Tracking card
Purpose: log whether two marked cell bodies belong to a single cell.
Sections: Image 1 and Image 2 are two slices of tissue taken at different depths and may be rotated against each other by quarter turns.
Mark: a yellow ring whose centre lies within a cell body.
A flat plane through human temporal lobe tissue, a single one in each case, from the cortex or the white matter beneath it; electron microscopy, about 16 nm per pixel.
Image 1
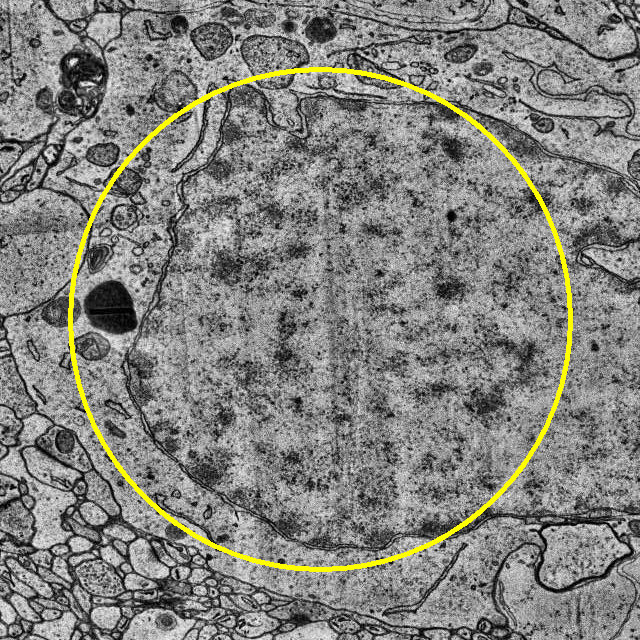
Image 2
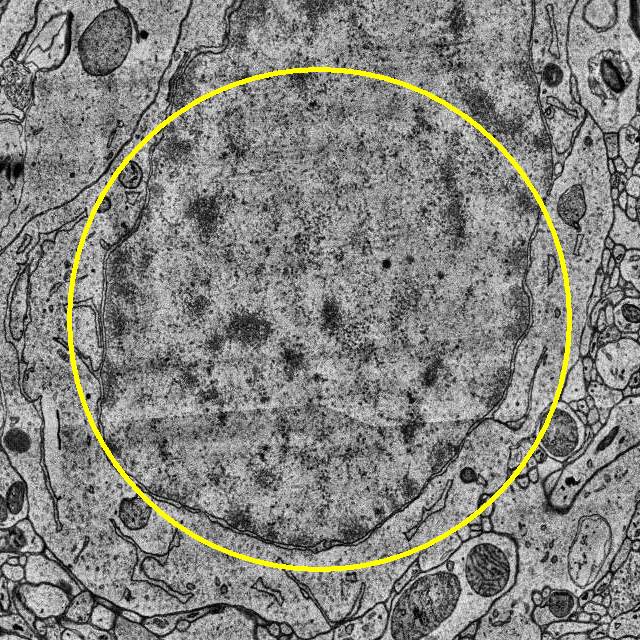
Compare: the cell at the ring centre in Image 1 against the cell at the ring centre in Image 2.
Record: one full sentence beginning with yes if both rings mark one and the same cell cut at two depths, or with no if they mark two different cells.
Yes, the two rings encircle a single cell, not a pair.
